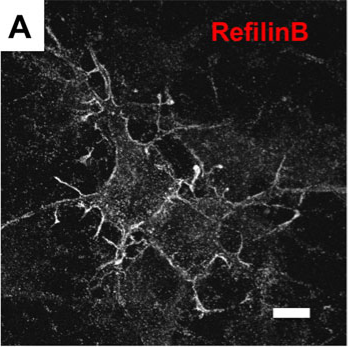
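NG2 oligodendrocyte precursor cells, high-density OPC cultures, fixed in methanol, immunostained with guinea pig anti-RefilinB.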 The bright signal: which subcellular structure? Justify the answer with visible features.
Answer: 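Bright staining outlines thin branched processes radiating from the cells. The cell body interior is only faintly and diffusely stained. On this evidence: membrane protrusions.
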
